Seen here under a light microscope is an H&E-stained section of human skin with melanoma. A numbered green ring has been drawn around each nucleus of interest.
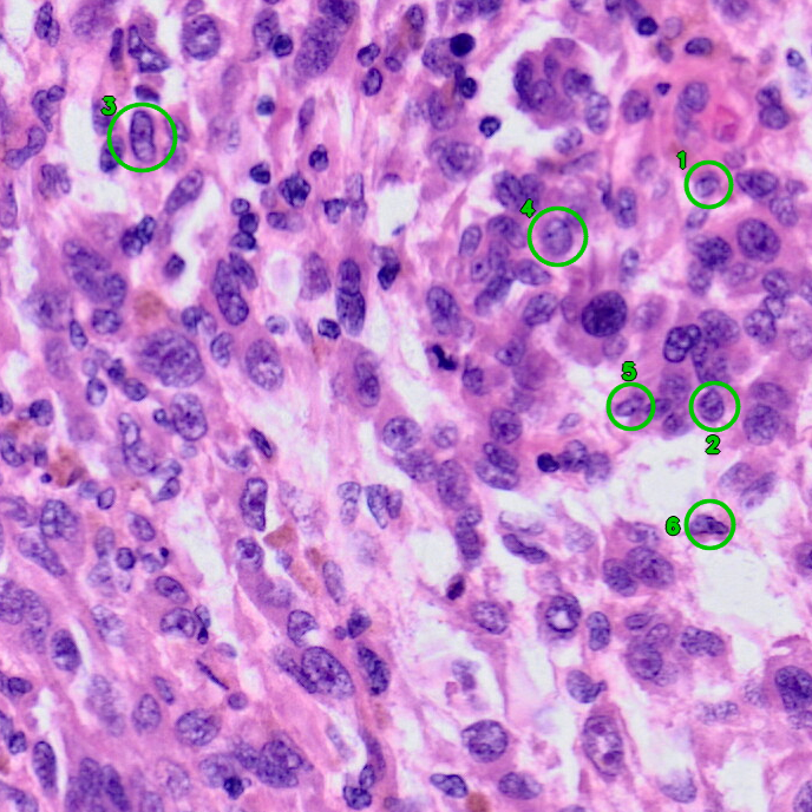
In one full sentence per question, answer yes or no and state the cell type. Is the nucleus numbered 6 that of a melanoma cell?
No, the identification of cell 6 as a melanoma cell is incorrect; it is a macrophage or monocyte.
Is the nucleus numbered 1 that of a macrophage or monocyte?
Yes, the cell given number 1 is a macrophage or monocyte.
